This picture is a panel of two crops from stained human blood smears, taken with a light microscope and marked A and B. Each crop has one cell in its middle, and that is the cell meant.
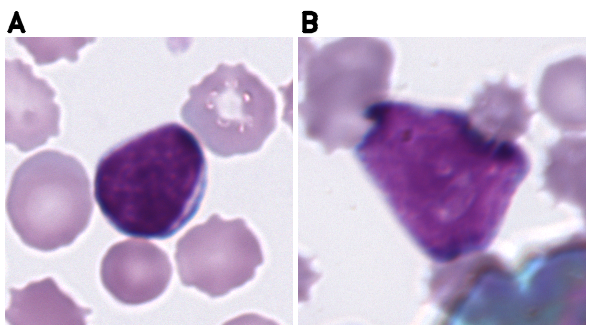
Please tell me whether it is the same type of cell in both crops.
no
